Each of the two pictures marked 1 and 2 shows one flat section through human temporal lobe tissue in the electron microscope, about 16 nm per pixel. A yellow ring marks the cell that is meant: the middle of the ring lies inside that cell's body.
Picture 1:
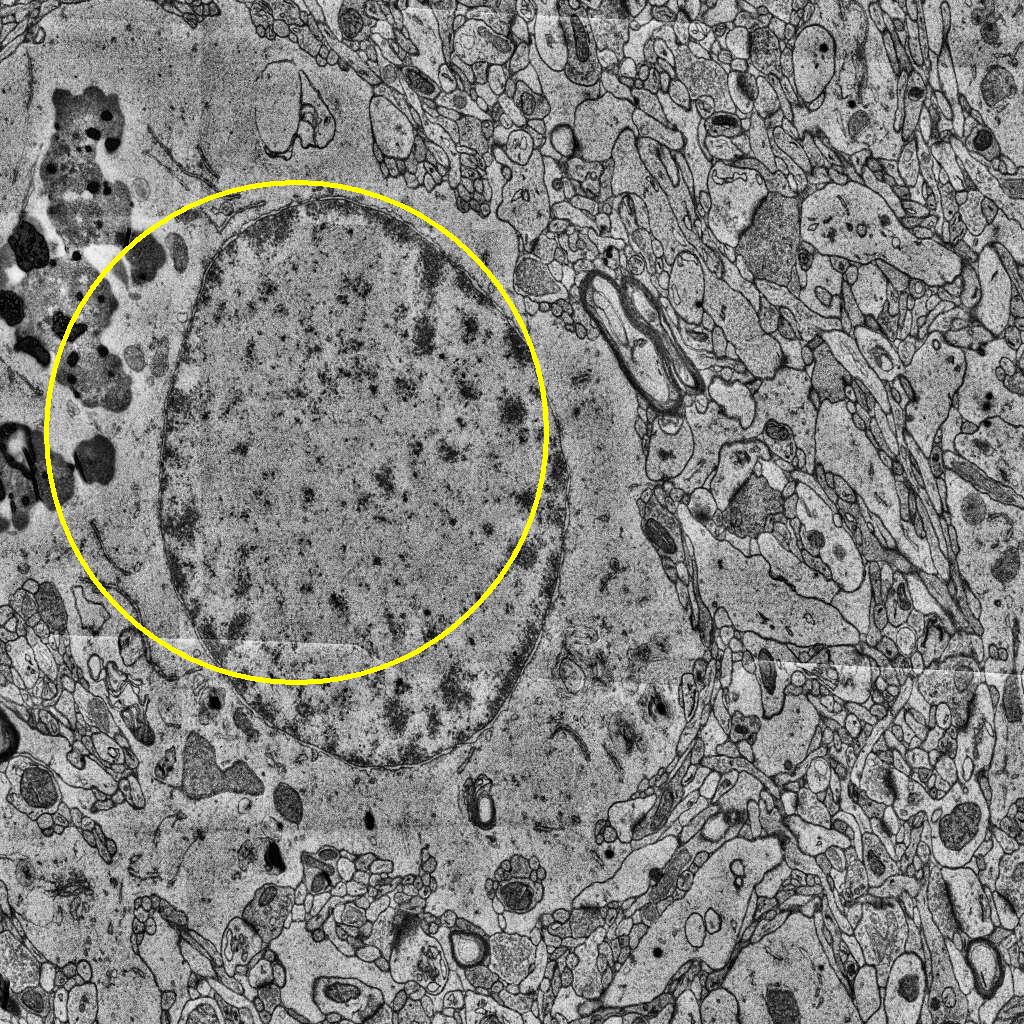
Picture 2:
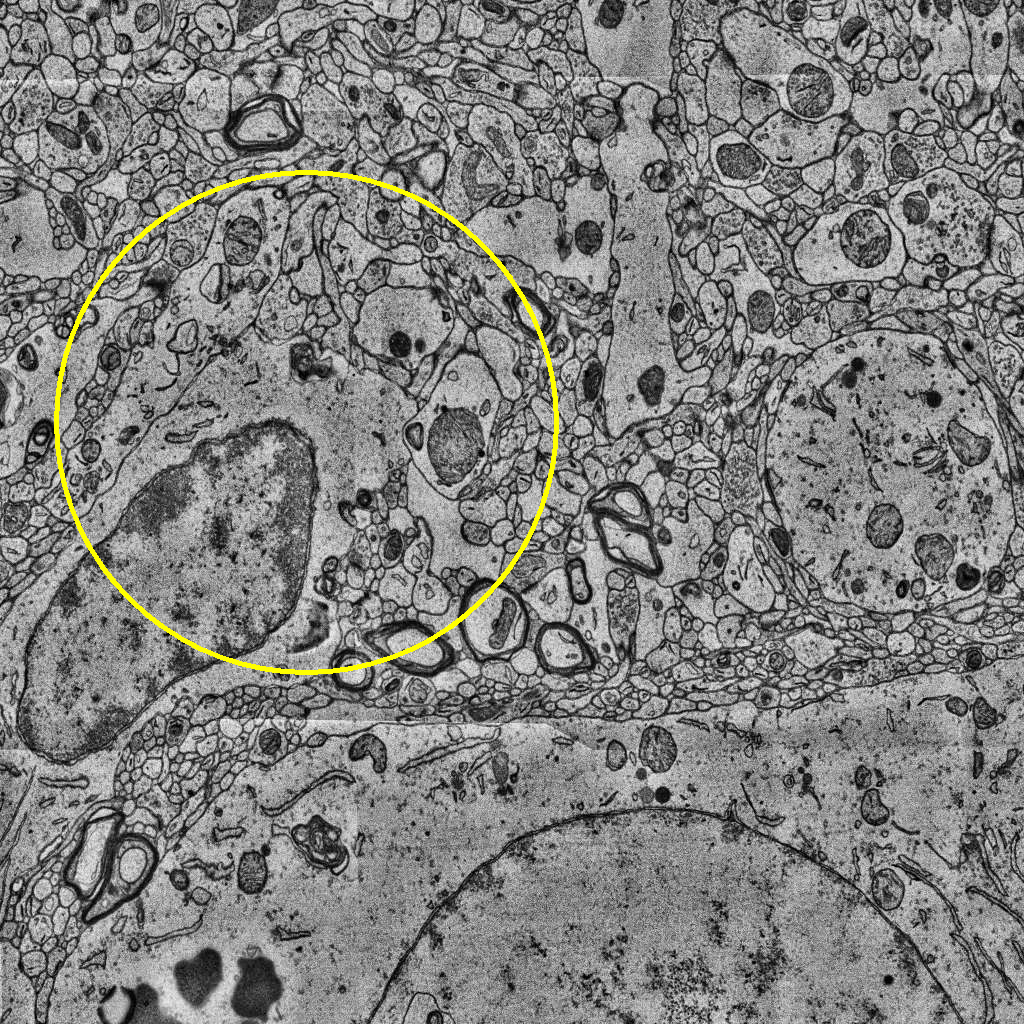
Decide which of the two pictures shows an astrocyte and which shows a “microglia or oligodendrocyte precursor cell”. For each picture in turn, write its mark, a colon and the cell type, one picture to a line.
1: astrocyte
2: microglia or oligodendrocyte precursor cell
